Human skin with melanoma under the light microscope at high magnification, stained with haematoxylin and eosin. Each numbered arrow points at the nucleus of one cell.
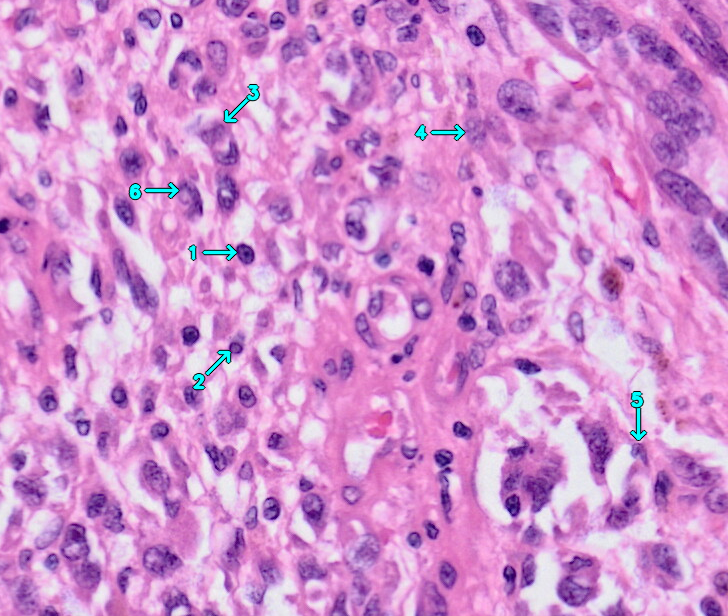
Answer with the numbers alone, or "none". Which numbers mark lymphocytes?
1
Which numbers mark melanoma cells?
3, 4, 5, 6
